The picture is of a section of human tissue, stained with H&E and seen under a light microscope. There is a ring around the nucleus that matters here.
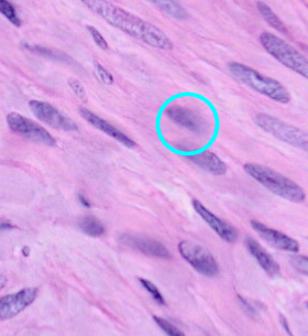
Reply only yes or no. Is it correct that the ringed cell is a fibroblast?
yes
